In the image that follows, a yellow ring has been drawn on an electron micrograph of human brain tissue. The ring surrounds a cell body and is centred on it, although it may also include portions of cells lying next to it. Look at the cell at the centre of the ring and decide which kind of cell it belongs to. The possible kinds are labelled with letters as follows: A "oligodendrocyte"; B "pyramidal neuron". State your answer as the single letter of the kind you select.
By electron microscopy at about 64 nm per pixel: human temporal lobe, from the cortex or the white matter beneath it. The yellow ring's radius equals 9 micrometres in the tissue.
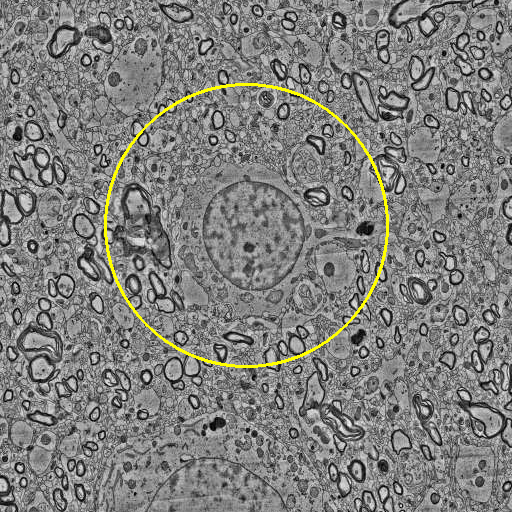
A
